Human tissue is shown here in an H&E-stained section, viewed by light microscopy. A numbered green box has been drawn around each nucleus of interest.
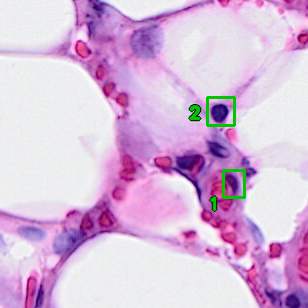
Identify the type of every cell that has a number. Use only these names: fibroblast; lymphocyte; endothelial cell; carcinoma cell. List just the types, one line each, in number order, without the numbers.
endothelial cell
lymphocyte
